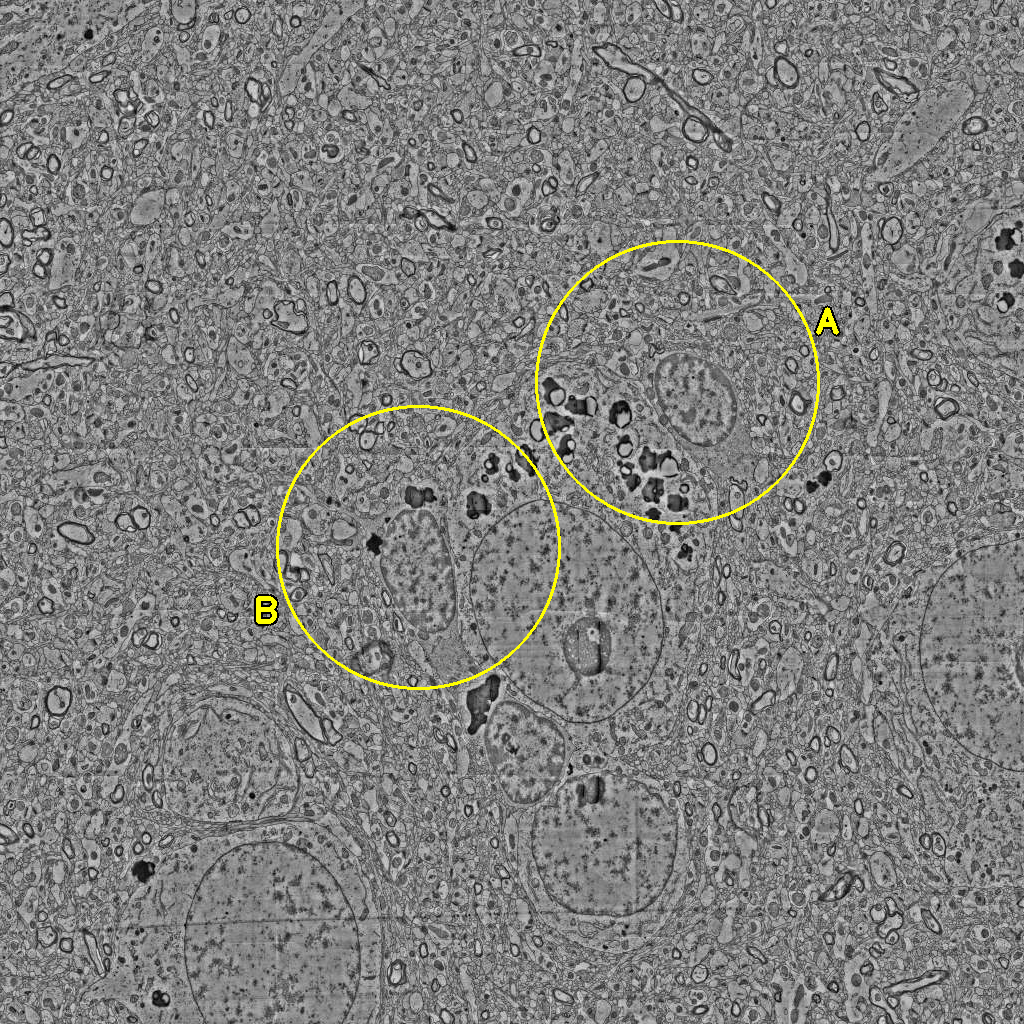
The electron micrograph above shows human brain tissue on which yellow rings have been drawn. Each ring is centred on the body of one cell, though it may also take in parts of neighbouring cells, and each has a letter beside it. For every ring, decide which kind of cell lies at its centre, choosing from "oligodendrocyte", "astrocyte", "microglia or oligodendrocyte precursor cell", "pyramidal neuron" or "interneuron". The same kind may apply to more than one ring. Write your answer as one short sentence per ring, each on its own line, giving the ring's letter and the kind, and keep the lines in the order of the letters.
Ring A is centred on an oligodendrocyte.
Ring B is centred on an oligodendrocyte.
